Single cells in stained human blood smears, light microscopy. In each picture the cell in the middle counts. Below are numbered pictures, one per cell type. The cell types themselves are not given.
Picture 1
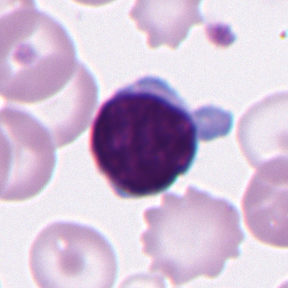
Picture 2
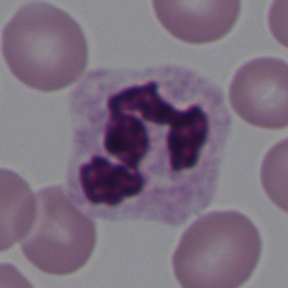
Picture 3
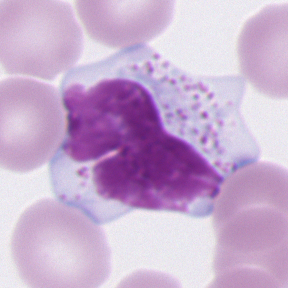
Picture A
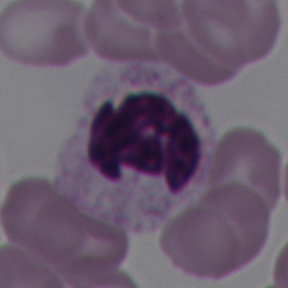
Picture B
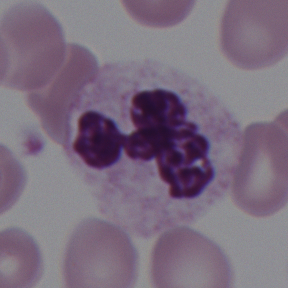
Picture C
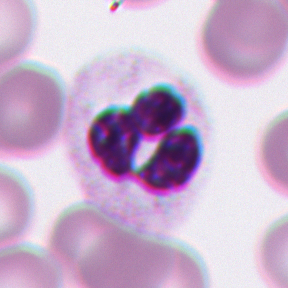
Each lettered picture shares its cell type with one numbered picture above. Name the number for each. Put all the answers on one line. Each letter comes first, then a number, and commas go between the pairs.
A 2, B 2, C 2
